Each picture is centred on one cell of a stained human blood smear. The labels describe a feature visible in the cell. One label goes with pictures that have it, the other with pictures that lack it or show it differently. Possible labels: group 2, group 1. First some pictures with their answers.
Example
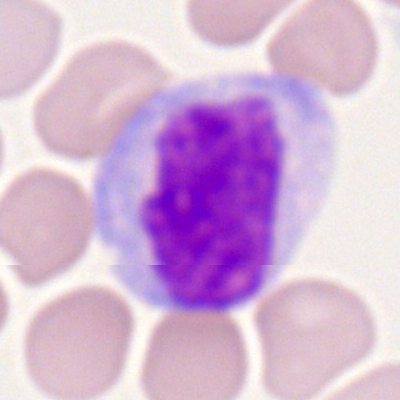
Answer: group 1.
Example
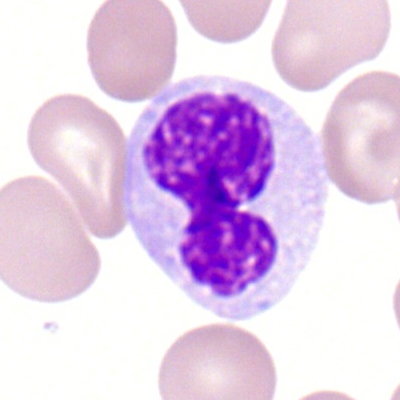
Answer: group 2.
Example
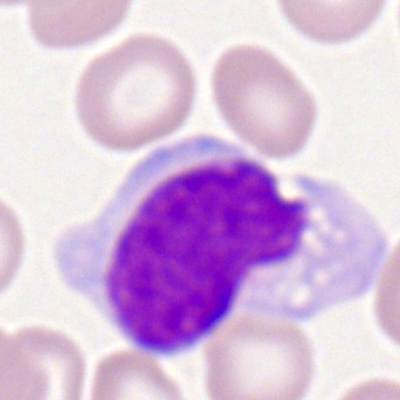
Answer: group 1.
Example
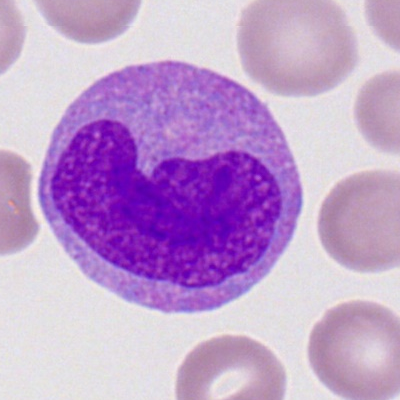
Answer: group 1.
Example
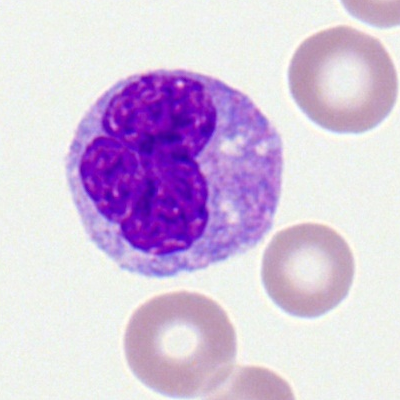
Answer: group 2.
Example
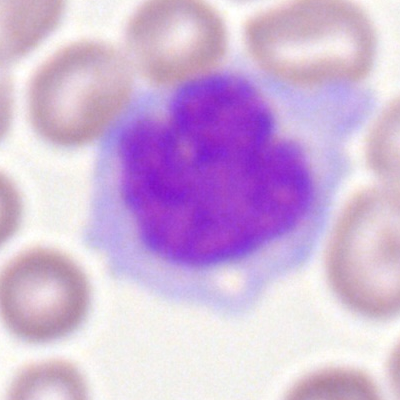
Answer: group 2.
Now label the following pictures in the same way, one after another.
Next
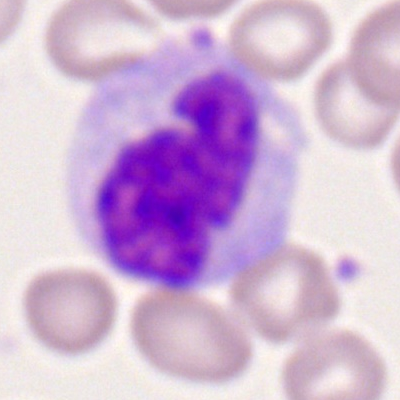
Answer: group 1.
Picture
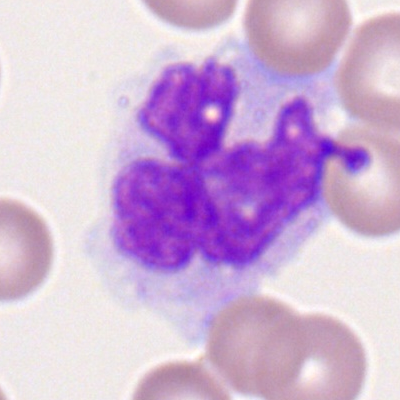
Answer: group 2.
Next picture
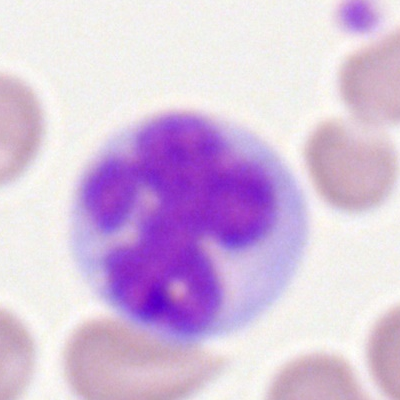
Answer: group 2.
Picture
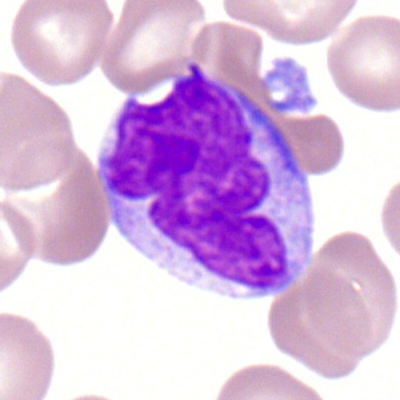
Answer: group 2.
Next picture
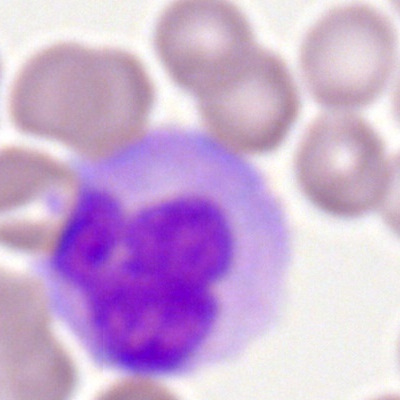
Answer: group 2.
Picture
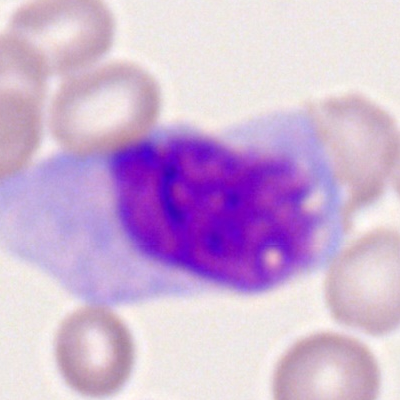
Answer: group 1.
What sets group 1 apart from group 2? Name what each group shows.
group 1, single compact nucleus; group 2, lobed nucleus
